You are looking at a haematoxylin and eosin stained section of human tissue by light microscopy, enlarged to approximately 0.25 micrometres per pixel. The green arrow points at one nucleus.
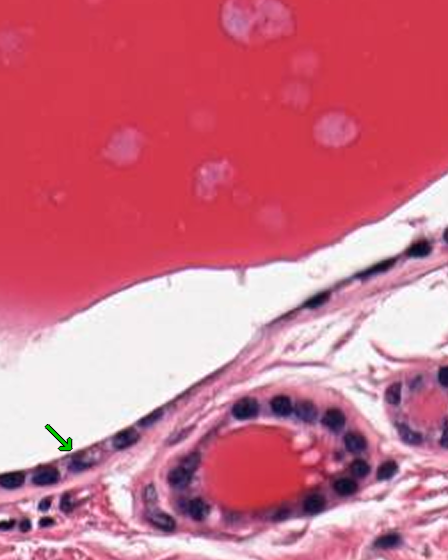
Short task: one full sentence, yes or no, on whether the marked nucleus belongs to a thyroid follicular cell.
Yes, the marked nucleus belongs to a thyroid follicular cell in this image.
